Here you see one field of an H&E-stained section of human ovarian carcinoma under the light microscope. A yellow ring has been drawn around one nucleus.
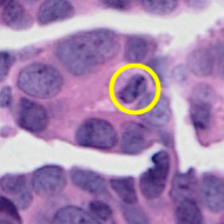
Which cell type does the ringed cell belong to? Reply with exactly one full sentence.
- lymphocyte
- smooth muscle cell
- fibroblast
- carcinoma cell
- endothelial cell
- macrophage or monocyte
It is as a macrophage or monocyte that the ringed cell is classified.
